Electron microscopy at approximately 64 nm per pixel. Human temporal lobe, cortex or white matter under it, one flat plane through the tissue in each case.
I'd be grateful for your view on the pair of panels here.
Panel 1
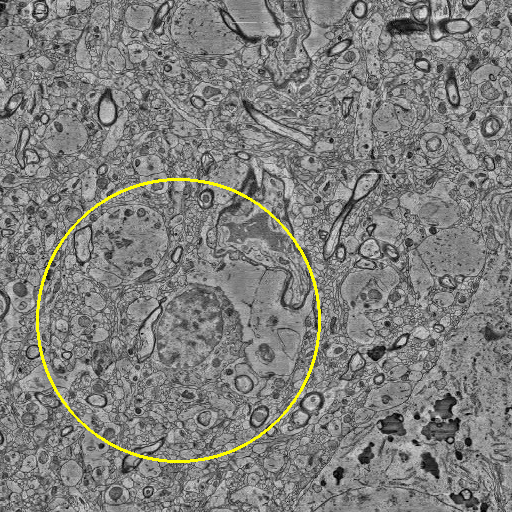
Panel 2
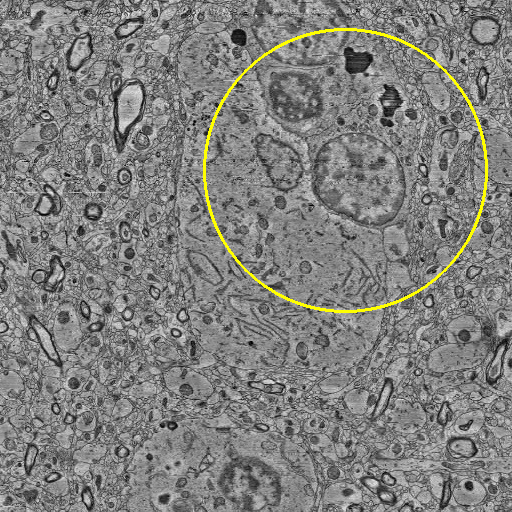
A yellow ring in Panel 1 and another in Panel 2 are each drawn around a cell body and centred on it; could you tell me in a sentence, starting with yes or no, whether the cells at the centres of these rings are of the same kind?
Yes, they are the same kind of cell.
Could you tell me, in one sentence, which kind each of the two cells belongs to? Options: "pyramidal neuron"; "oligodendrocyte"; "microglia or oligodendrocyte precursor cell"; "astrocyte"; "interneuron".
Each of the ringed cells, first and second, is an oligodendrocyte.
